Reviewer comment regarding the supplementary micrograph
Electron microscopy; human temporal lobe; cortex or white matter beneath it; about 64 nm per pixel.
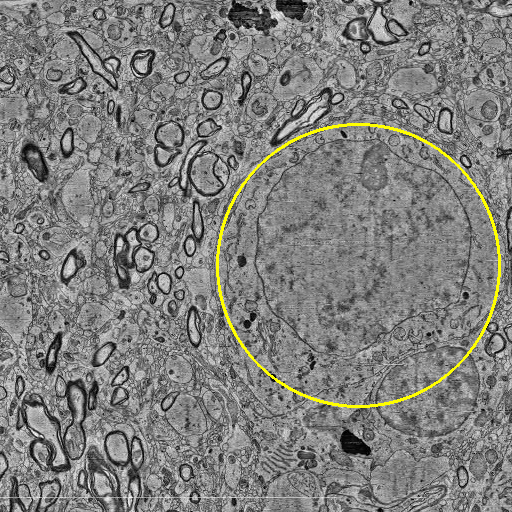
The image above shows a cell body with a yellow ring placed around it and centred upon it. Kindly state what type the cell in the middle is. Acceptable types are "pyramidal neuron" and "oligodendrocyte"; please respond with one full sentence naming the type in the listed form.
In the image above, the cell on which the yellow ring is centred is a pyramidal neuron.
